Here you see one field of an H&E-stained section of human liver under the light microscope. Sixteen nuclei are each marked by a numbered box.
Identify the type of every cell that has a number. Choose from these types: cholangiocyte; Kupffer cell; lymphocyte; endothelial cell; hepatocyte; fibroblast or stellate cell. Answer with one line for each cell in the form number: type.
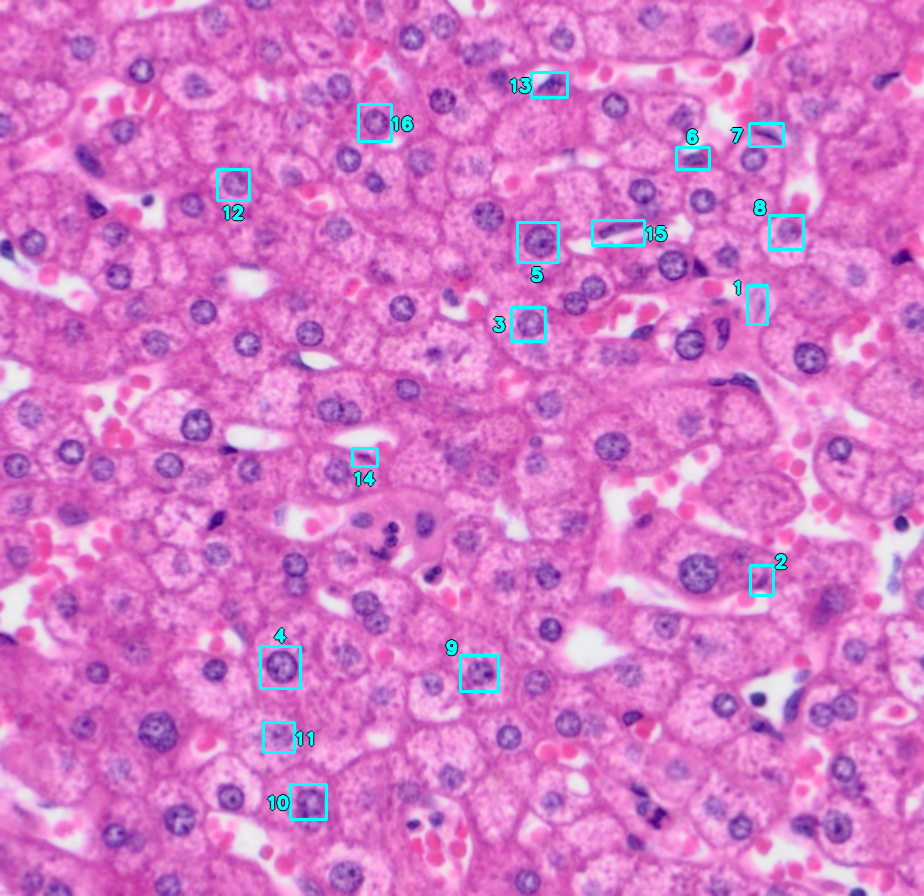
1: Kupffer cell
2: fibroblast or stellate cell
3: hepatocyte
4: hepatocyte
5: hepatocyte
6: endothelial cell
7: fibroblast or stellate cell
8: hepatocyte
9: hepatocyte
10: hepatocyte
11: hepatocyte
12: hepatocyte
13: endothelial cell
14: Kupffer cell
15: Kupffer cell
16: hepatocyte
